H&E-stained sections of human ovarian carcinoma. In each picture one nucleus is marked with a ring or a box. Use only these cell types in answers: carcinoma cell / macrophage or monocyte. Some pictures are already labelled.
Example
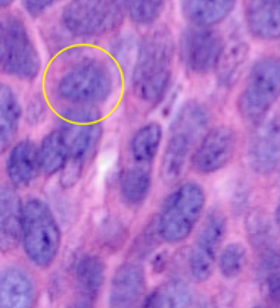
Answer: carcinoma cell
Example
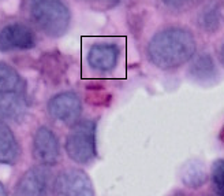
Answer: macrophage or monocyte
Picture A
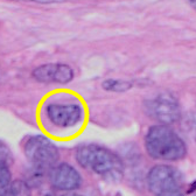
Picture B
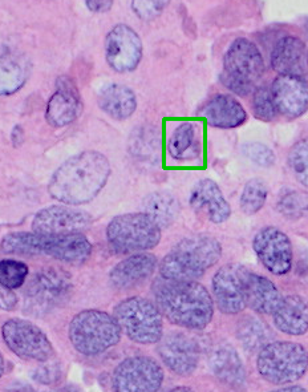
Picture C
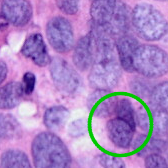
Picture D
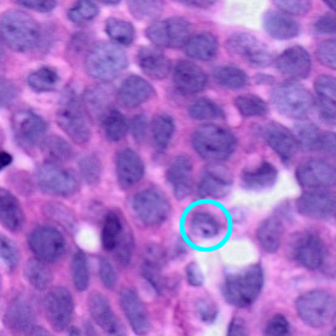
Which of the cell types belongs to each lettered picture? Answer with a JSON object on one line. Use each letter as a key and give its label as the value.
{"A": "macrophage or monocyte", "B": "macrophage or monocyte", "C": "carcinoma cell", "D": "macrophage or monocyte"}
